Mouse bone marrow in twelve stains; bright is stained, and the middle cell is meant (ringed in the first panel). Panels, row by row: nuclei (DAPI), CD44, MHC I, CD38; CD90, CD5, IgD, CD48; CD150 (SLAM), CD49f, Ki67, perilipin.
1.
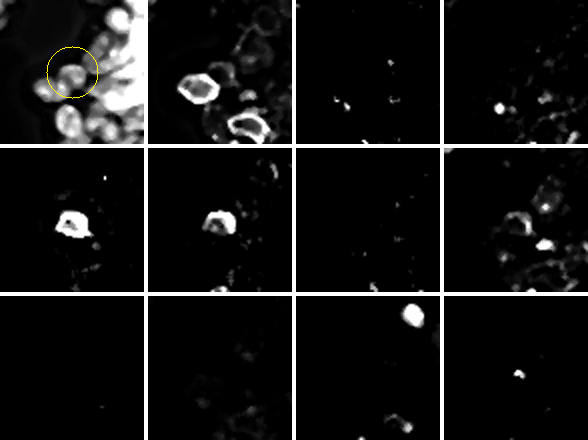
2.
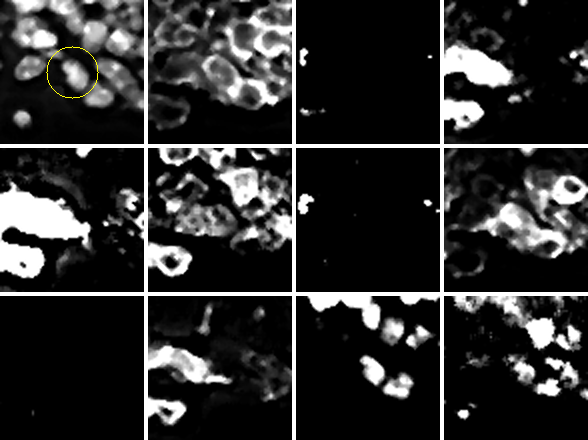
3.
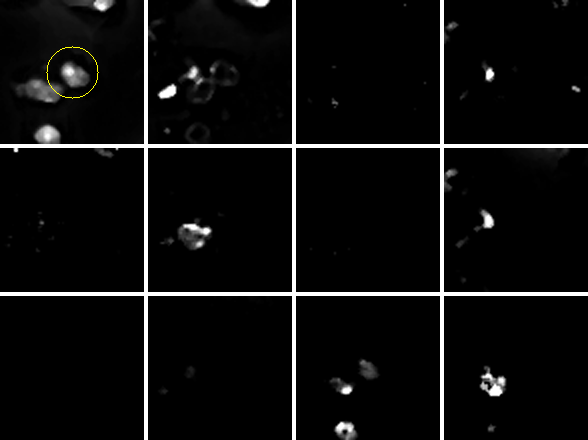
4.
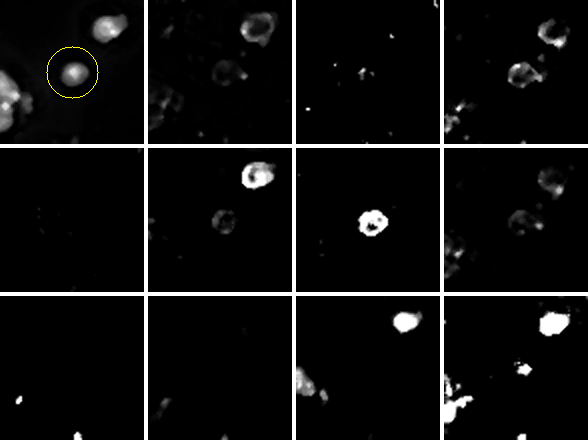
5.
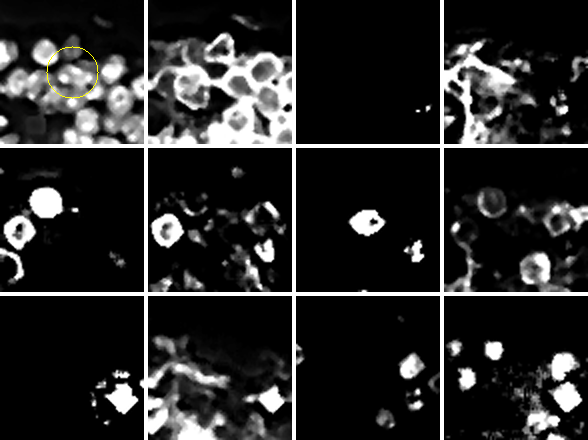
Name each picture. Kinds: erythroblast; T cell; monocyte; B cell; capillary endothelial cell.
1: T cell
2: capillary endothelial cell
3: erythroblast
4: B cell
5: B cell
